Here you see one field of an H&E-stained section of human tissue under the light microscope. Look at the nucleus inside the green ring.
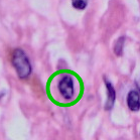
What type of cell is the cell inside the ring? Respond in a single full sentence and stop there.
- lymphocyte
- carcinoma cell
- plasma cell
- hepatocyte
In this section of tissue, the cell inside the ring is a plasma cell.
